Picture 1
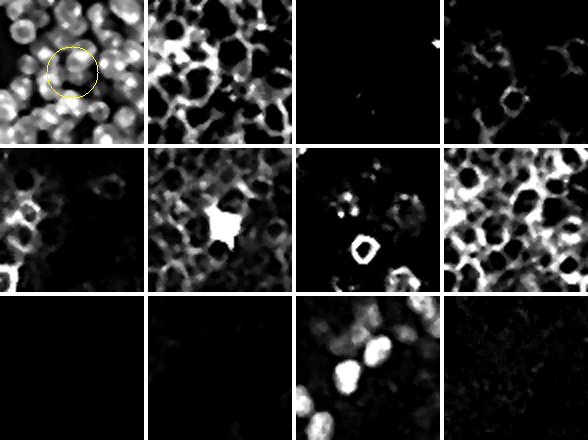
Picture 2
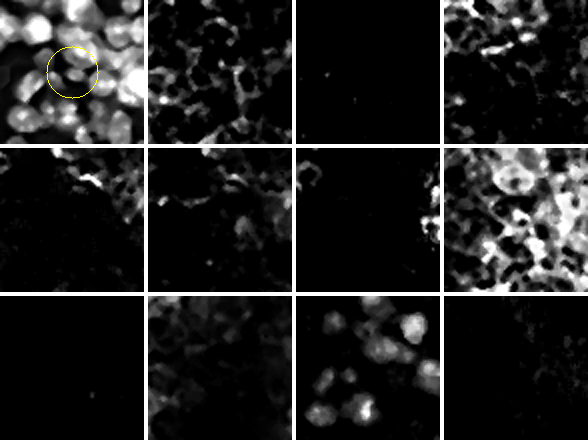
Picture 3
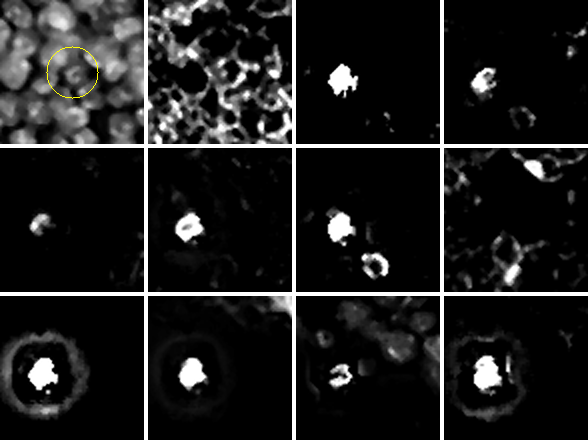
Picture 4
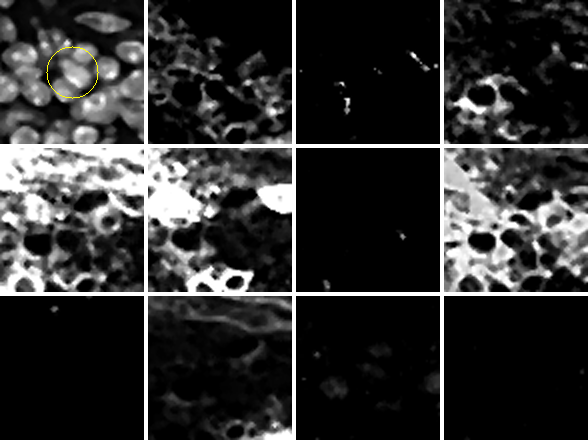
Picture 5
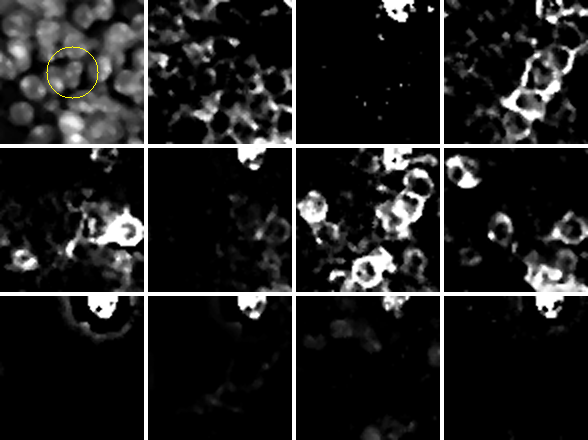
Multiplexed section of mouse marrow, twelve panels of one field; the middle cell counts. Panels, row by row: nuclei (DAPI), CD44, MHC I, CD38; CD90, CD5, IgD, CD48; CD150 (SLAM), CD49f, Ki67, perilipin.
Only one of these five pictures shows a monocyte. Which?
Picture 2.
